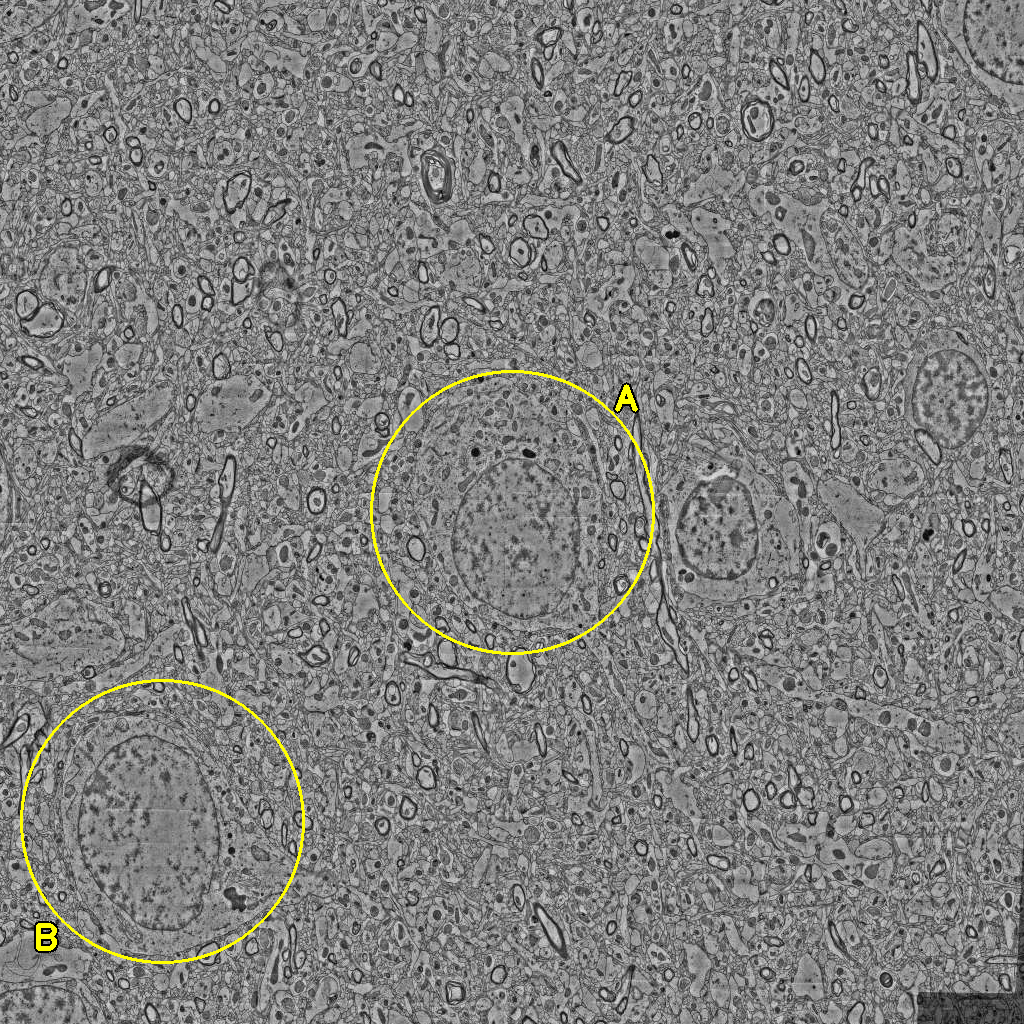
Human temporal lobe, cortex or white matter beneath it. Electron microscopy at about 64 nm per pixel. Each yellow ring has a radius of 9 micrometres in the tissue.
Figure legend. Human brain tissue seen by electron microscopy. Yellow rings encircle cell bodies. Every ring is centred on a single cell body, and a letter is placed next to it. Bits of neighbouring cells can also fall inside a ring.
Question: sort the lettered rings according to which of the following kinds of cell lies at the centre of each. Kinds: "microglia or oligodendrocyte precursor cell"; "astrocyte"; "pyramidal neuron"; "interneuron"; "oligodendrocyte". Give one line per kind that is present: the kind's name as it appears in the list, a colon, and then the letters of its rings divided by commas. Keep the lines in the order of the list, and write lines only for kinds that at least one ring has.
pyramidal neuron: B
interneuron: A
